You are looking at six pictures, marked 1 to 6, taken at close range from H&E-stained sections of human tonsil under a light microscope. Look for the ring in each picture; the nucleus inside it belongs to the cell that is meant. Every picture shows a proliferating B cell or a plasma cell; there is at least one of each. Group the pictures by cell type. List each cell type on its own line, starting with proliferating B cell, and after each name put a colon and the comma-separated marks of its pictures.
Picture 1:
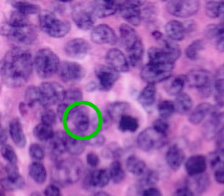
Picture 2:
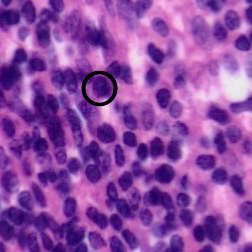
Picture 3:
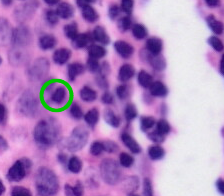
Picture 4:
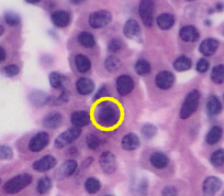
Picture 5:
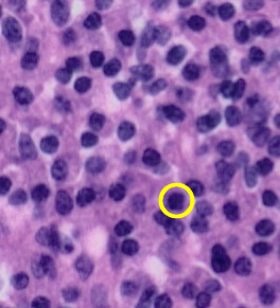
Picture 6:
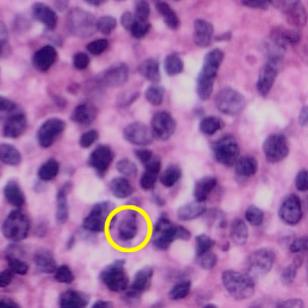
proliferating B cell: 1, 2, 3, 6
plasma cell: 4, 5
